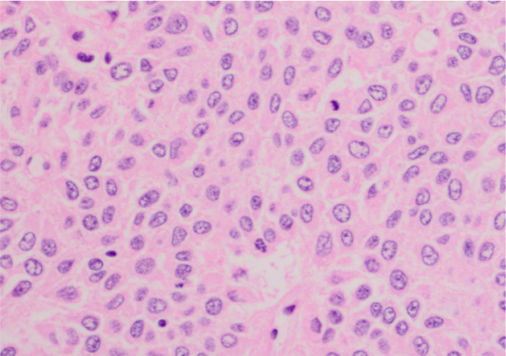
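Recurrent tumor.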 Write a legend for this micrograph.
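The nuclei are round to oval and fairly uniform, with pale chromatin, a crisp nuclear membrane and often a small nucleolus; some show a faint longitudinal groove. The cytoplasm is pale pink and ill-defined, and the cells sit evenly spaced in a continuous sheet. Here and there a small, very dark, condensed nucleus stands out, which may be a dividing cell.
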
